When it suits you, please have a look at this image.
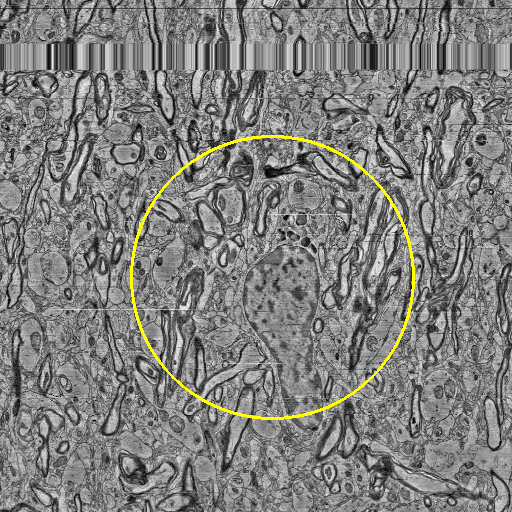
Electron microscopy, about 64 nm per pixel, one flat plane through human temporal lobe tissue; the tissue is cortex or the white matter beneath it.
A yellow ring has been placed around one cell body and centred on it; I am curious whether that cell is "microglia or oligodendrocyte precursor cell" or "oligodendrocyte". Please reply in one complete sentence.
The ringed cell, a microglial cell or oligodendrocyte precursor cell, has its body at the centre of the yellow ring.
